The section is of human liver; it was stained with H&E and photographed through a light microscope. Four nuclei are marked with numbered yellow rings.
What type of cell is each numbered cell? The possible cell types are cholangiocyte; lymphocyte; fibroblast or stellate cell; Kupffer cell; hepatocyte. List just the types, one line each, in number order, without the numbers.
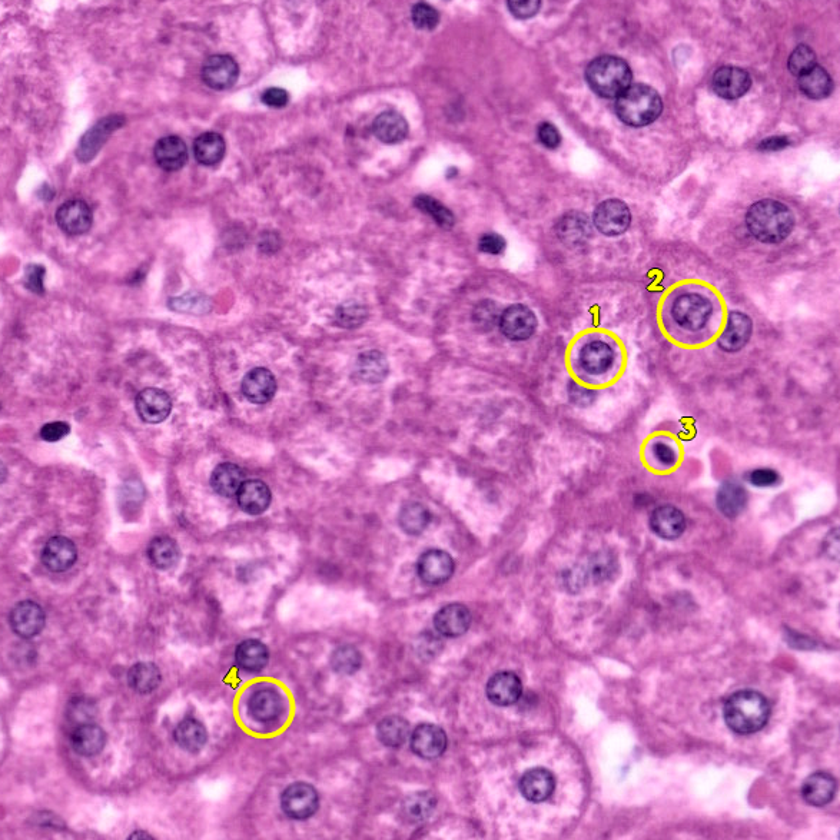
hepatocyte
hepatocyte
lymphocyte
hepatocyte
